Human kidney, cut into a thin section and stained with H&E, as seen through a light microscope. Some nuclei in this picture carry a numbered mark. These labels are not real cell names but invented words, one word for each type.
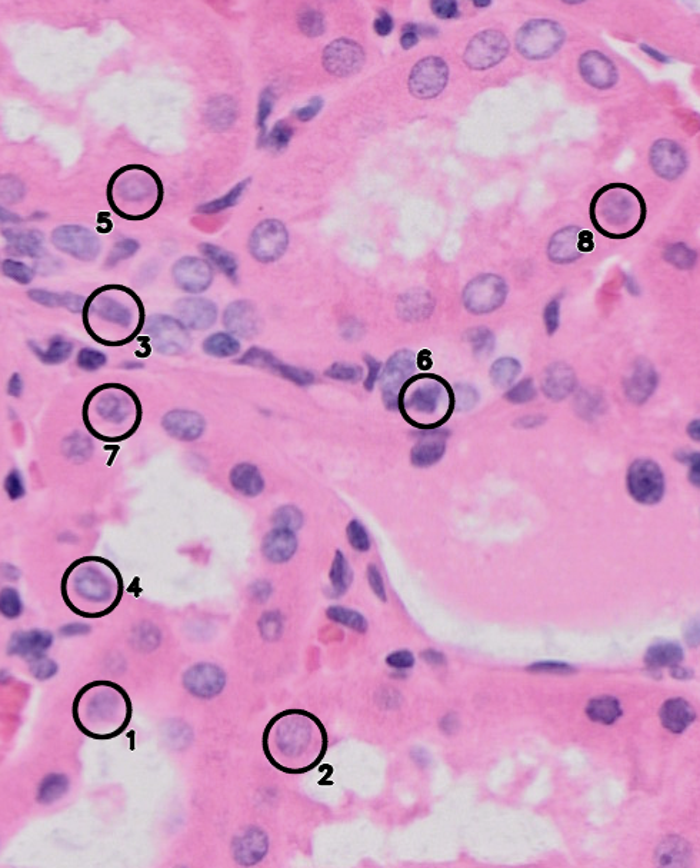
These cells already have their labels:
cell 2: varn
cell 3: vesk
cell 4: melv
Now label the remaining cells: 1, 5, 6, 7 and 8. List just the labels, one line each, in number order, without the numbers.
melv
varn
vesk
melv
varn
